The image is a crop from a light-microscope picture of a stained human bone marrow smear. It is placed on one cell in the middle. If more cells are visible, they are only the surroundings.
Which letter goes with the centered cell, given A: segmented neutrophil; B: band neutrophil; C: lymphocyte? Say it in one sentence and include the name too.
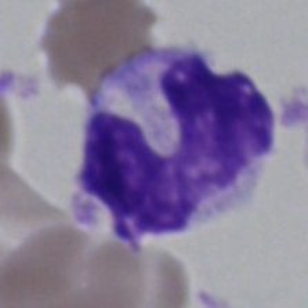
Since the cell in the middle is a band neutrophil, option B is correct.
